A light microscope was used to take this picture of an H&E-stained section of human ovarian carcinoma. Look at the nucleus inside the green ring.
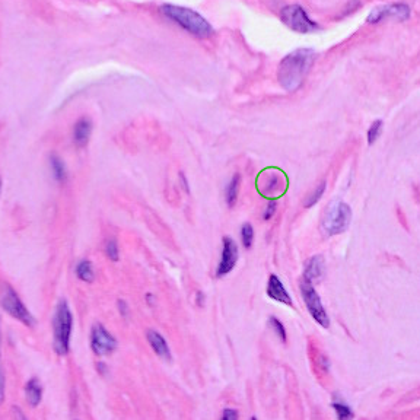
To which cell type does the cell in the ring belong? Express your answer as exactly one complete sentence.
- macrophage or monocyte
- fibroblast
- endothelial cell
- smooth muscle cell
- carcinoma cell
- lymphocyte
In short, the cell in the ring on this section is a smooth muscle cell.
